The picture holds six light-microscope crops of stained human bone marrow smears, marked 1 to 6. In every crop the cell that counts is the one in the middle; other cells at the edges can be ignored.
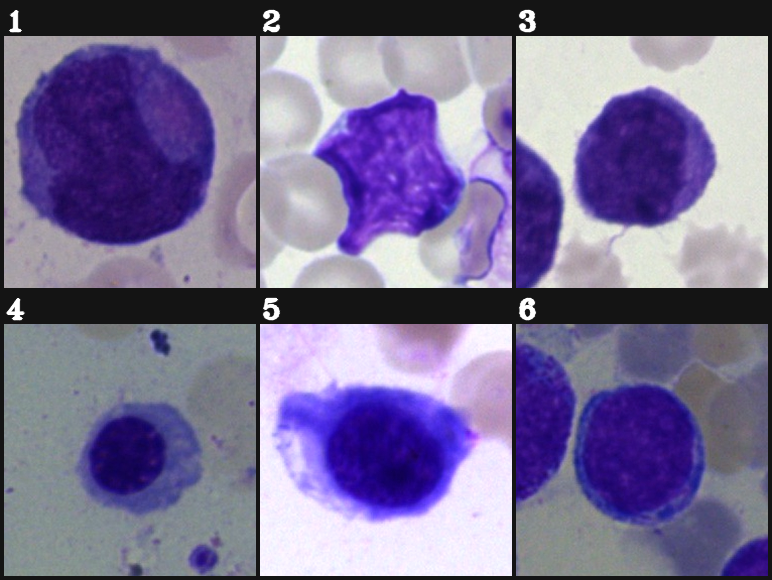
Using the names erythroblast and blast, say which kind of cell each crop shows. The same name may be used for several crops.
1: blast
2: blast
3: blast
4: erythroblast
5: erythroblast
6: blast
